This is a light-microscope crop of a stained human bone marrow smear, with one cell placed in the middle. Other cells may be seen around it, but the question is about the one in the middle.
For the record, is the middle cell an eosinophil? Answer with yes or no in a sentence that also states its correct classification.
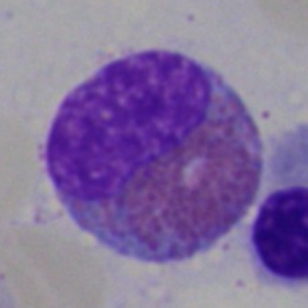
Yes, the cell shown in the middle is an eosinophil.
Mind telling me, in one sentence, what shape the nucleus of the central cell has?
One compact mass makes up the whole nucleus, round, oval or kidney-shaped.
